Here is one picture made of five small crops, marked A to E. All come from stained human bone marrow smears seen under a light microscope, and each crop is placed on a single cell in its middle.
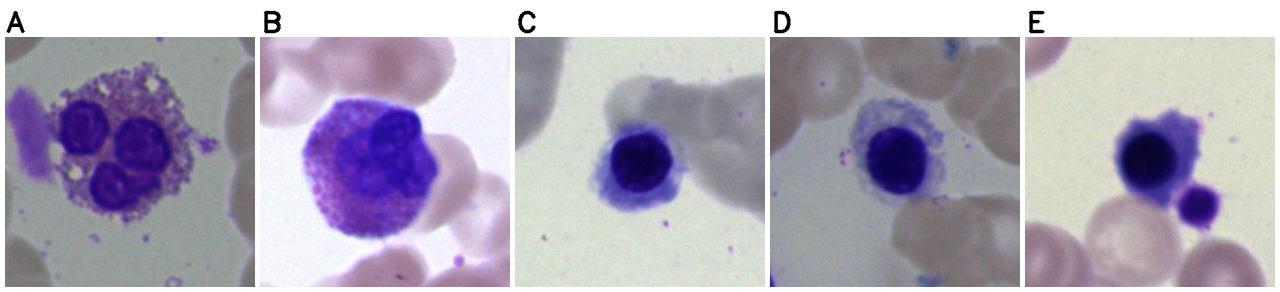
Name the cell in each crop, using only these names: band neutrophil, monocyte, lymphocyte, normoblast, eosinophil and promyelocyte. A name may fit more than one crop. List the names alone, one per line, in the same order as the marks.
eosinophil
eosinophil
normoblast
normoblast
normoblast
